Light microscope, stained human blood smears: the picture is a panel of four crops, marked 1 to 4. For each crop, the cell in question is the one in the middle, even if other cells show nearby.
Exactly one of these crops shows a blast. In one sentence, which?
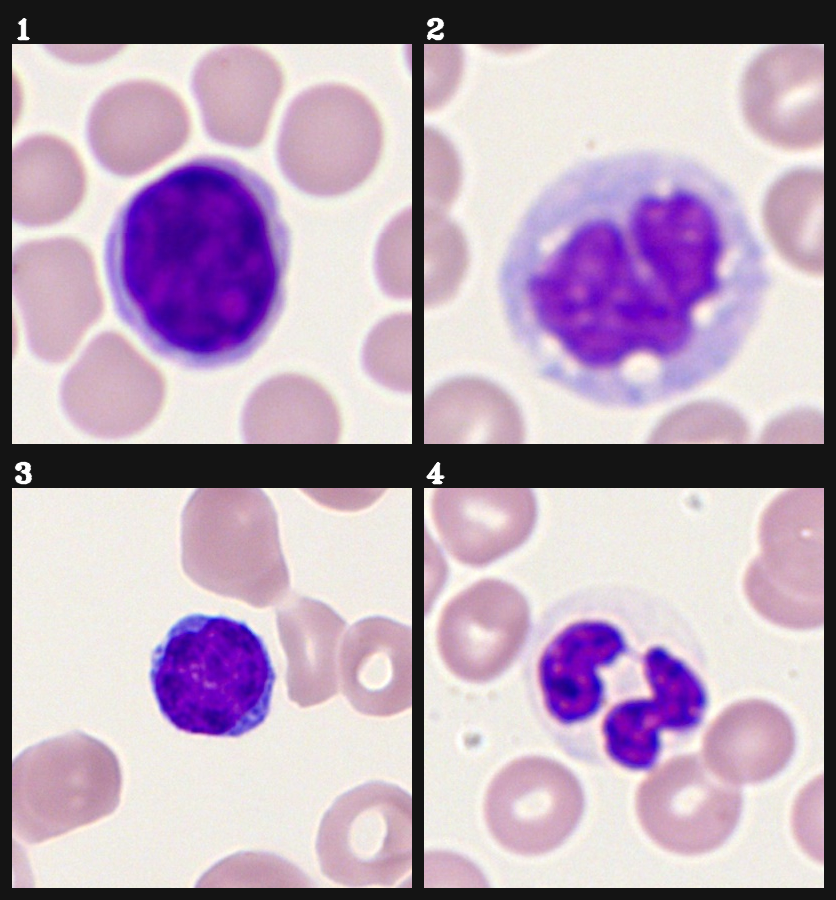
Of the crops shown, crop 1 depicts a blast.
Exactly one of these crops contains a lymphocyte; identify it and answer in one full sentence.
Of all the crops, crop 3 is the one showing a lymphocyte.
